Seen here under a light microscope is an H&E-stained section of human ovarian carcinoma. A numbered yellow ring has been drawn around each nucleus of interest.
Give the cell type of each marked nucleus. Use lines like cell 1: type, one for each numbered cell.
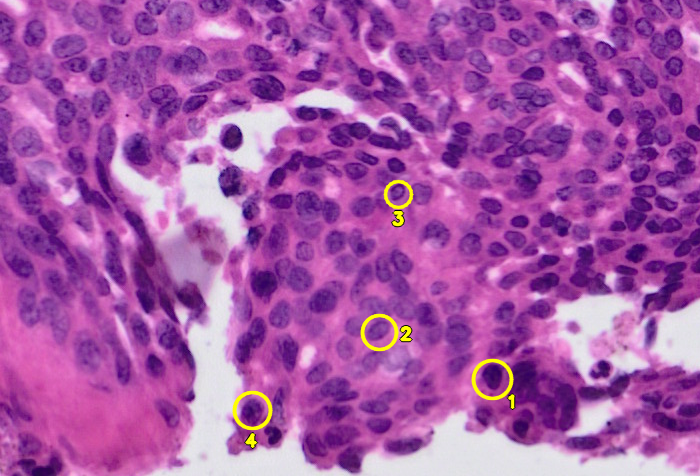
cell 1: carcinoma cell
cell 2: carcinoma cell
cell 3: macrophage or monocyte
cell 4: carcinoma cell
